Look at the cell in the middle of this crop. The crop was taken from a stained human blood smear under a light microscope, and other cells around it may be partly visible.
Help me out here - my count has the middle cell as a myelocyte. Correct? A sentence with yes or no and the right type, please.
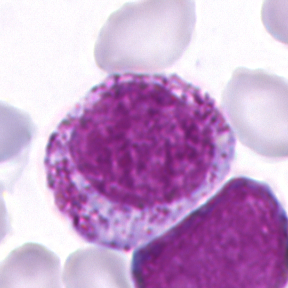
Yes, shown in the middle of the crop is a myelocyte.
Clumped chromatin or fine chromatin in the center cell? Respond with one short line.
The chromatin is delicate and fine, lacking coarse clumping entirely.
